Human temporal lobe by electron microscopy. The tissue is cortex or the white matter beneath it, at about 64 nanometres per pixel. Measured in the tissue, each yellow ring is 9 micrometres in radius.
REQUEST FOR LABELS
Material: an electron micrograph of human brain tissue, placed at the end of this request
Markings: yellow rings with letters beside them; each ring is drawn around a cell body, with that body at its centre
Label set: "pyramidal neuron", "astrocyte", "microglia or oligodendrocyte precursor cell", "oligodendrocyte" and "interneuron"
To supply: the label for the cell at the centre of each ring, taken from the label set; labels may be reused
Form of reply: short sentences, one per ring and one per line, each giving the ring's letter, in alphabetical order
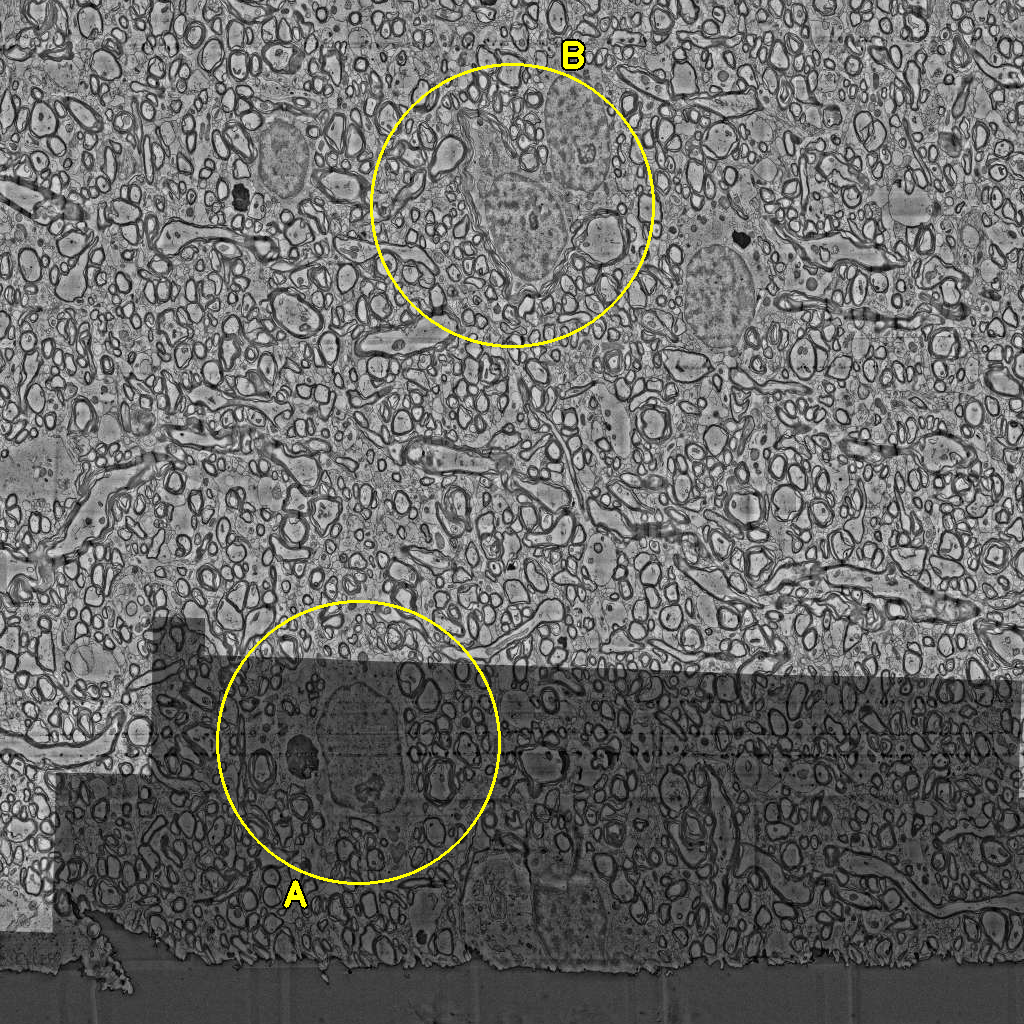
Ring A: the cell in the middle is an astrocyte.
Ring B: the cell in the middle is an oligodendrocyte.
